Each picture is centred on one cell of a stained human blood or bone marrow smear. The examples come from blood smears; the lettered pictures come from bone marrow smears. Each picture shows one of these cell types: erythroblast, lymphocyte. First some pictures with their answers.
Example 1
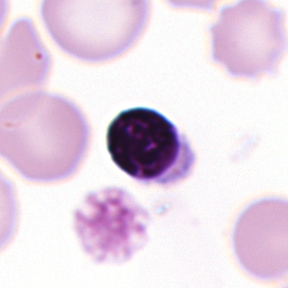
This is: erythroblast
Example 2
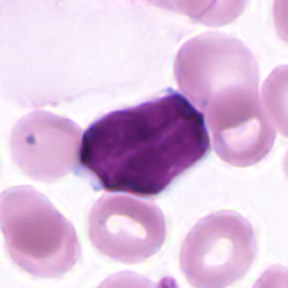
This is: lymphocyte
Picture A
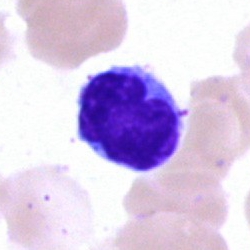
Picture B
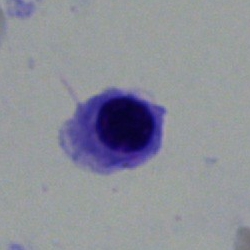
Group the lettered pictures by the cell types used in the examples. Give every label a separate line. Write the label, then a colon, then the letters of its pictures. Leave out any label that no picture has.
erythroblast: B
lymphocyte: A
